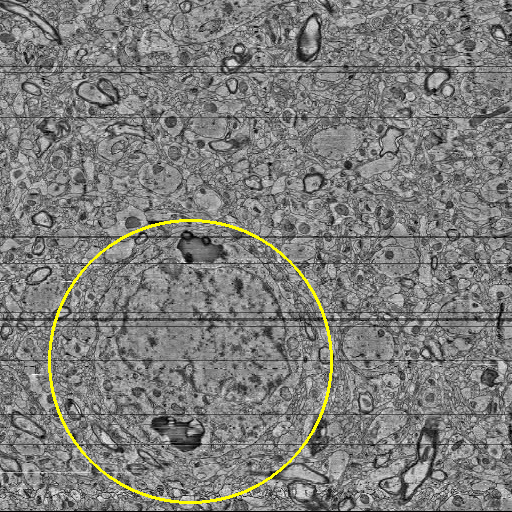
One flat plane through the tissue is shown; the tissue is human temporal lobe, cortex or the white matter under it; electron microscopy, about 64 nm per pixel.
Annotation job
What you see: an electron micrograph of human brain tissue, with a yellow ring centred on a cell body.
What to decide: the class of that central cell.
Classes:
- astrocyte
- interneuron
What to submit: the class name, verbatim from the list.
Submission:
interneuron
